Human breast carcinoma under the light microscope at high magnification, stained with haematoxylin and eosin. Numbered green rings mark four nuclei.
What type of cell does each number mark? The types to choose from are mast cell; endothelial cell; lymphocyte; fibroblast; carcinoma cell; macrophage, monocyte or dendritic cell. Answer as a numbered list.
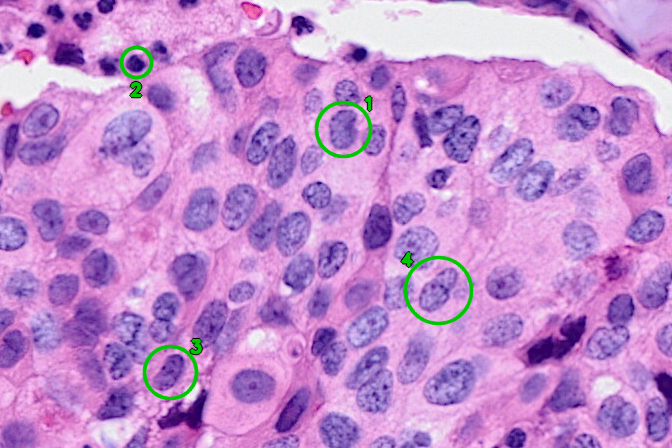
1. carcinoma cell
2. lymphocyte
3. carcinoma cell
4. carcinoma cell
